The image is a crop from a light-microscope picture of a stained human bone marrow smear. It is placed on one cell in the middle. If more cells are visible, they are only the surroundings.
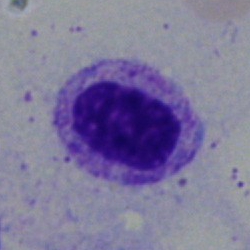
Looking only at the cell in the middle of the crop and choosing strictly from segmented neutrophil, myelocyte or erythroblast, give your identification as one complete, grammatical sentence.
What the crop centres on is a myelocyte.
